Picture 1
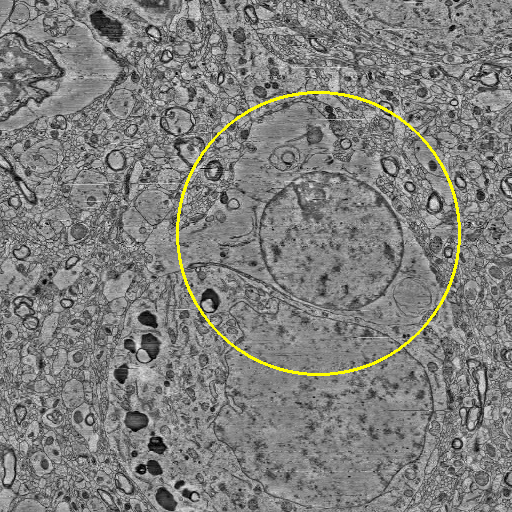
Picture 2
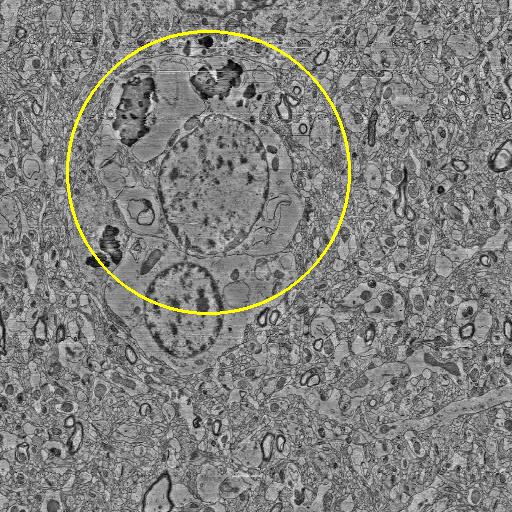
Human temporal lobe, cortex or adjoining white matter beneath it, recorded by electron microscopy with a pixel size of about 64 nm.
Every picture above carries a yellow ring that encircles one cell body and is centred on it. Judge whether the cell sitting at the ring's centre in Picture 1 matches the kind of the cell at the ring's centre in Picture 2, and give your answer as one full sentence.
Yes, the cells centred in the rings of Pictures 1 and 2 belong to one kind.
